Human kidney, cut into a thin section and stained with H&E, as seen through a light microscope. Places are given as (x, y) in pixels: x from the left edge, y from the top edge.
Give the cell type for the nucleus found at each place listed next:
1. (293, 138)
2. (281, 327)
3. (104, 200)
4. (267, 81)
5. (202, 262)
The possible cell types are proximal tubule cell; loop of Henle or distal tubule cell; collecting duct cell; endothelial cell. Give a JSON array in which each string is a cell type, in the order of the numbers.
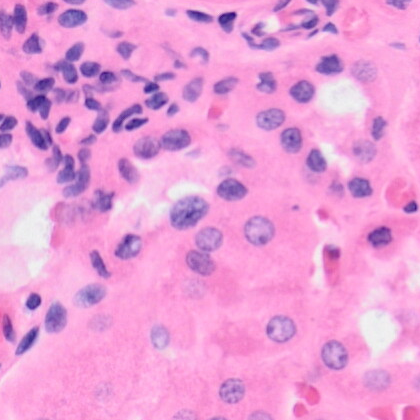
["loop of Henle or distal tubule cell", "proximal tubule cell", "loop of Henle or distal tubule cell", "loop of Henle or distal tubule cell", "proximal tubule cell"]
